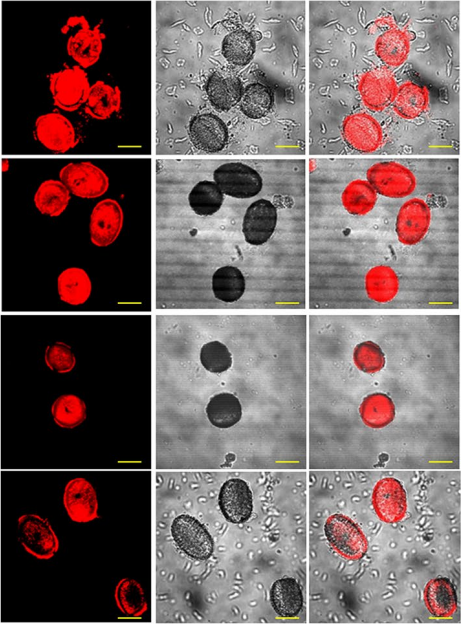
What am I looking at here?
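Mature pollen grains, lying singly or in small groups, round to oval in outline. Red fluorescence fills the grains, and in the bright-field images the grains appear dark with a textured surface. The merged images show the red signal matching the outline of each grain.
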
